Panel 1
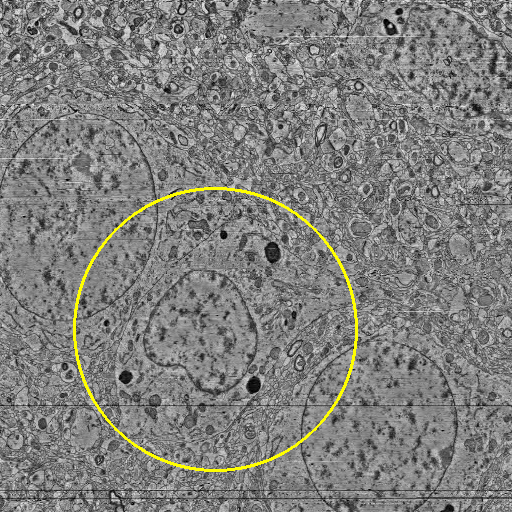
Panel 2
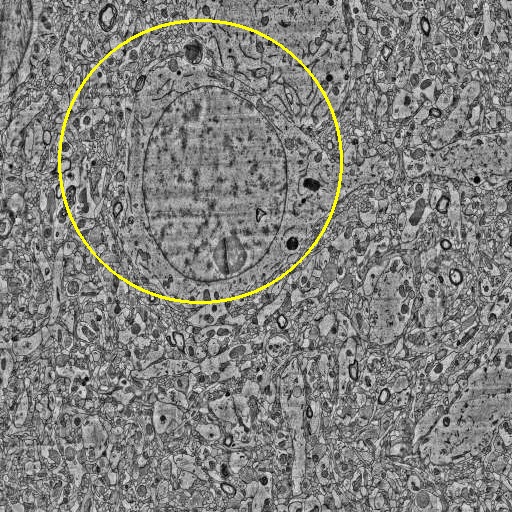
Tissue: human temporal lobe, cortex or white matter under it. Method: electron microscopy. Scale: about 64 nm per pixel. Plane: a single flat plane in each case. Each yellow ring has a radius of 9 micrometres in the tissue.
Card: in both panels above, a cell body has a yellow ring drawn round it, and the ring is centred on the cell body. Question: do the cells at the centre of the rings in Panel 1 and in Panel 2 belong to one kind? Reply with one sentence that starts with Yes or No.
Yes, the cells centred in the rings of Panel 1 and Panel 2 are one kind of cell.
